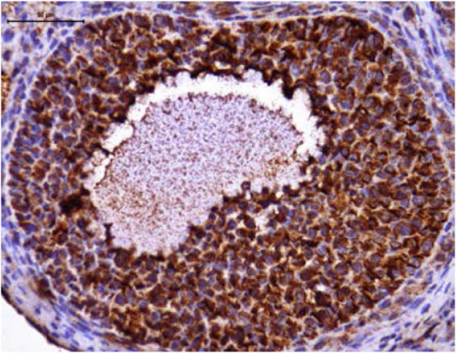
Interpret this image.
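An ovarian follicle with a central cavity holding pale, finely granular fluid, surrounded by many layers of closely packed granulosa cells whose cytoplasm stains strongly brown around round blue nuclei. A thin outer rim of flattened, spindle-shaped cells with elongated blue nuclei and little brown stain encircles the follicle and merges with the surrounding stroma.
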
